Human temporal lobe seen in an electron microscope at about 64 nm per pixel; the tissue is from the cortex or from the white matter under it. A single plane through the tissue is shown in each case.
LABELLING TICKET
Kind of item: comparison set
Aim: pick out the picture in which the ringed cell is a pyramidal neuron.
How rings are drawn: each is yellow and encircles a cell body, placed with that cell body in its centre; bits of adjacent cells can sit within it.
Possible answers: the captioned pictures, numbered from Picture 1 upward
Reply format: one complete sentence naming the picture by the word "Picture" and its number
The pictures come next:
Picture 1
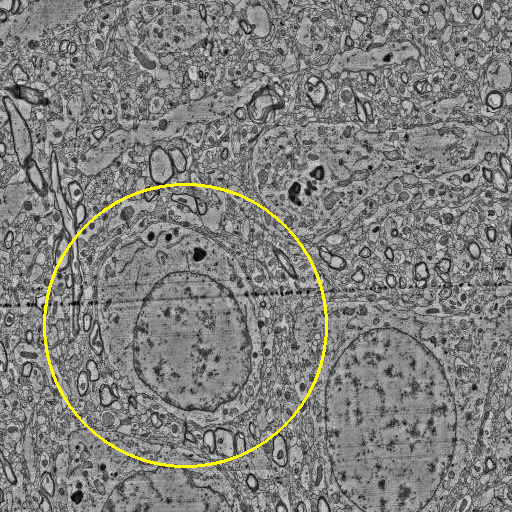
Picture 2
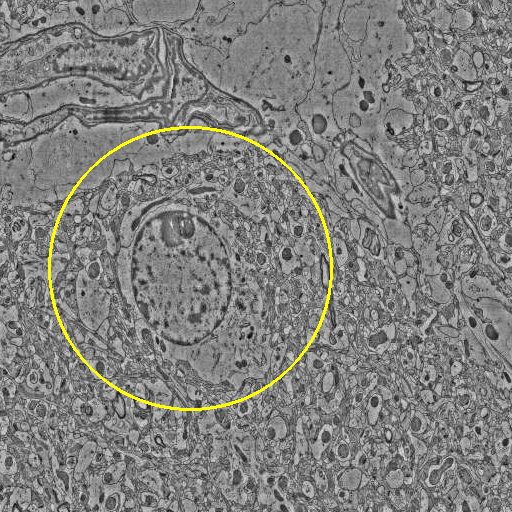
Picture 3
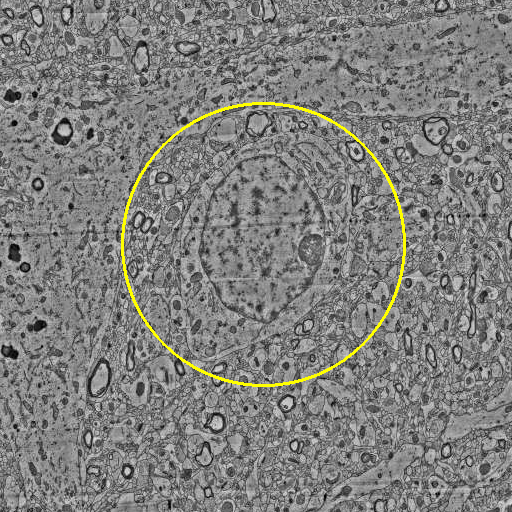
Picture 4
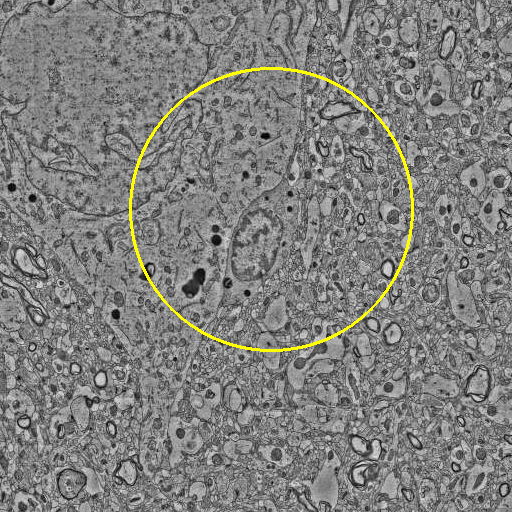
The cell centred inside the yellow ring in Picture 1 is the requested one.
